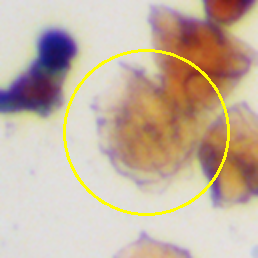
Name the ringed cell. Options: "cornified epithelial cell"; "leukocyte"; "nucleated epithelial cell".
cornified epithelial cell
